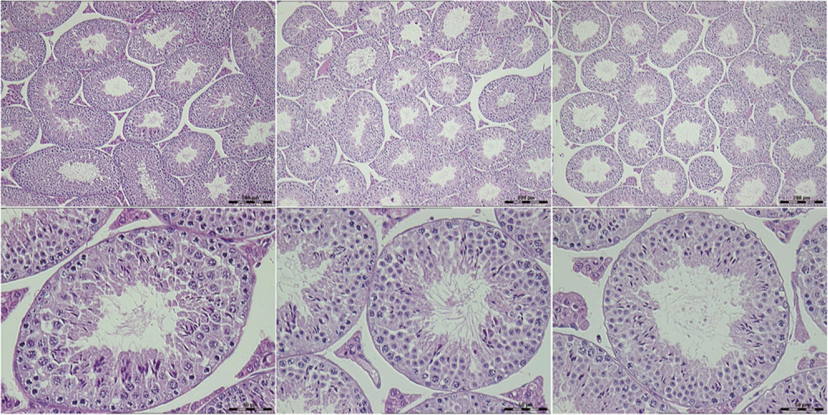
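Cross-sections of testis stained with haematoxylin and eosin show many round seminiferous tubules closely packed, with narrow interstitial spaces between them. Each tubule has a thick, multilayered epithelium of germ cells with dark purple round nuclei, from the basement membrane towards a central lumen. The lumen is filled with pale pink, wispy tails arranged radially. At higher magnification the layered arrangement of cells is clear, with smaller cells near the lumen. Small clusters of interstitial cells with pink cytoplasm lie in the angles between tubules.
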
